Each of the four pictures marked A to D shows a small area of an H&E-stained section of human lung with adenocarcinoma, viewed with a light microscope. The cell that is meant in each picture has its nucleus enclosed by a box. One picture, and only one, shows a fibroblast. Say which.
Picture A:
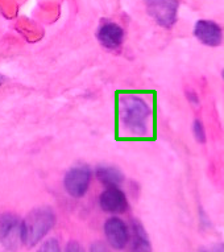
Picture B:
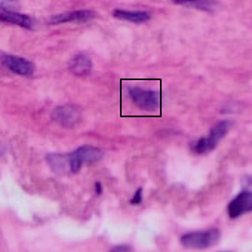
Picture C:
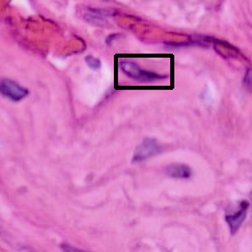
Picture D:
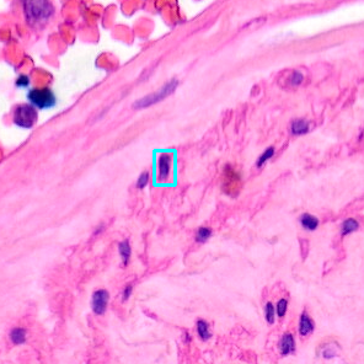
A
